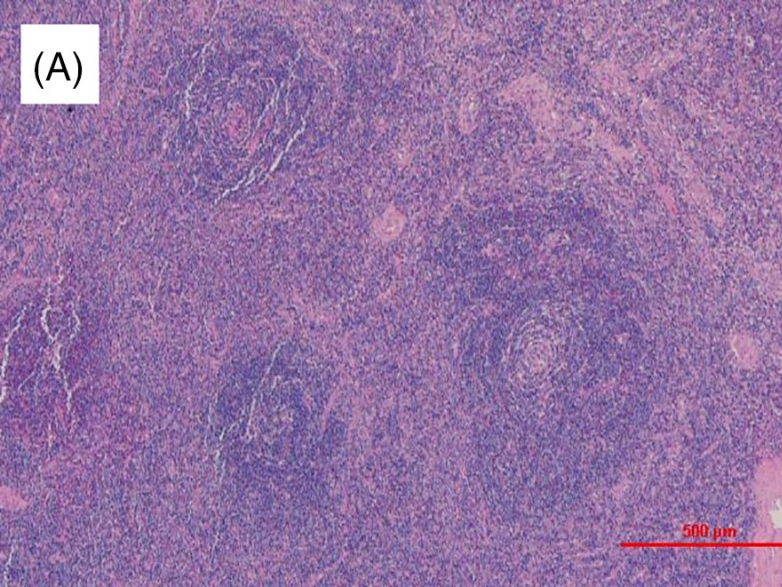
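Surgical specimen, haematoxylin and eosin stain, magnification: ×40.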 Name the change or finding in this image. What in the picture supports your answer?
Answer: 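Marked increase in the vascular components between lymphoid follicles. The tissue between the nodules is paler and pinker than the nodules. Small round vessel profiles lie scattered between the nodules.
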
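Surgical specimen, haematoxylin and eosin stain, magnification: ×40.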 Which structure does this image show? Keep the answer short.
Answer: lymphoid follicles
